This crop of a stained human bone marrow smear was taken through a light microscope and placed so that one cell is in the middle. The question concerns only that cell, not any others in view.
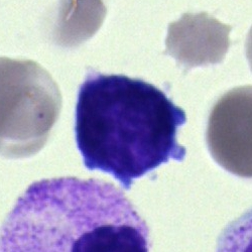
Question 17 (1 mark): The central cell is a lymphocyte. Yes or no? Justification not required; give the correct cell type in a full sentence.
Yes, the middle cell is properly termed a lymphocyte.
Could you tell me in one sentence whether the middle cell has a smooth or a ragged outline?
This cell has an uneven outline, either ragged or bearing projections.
